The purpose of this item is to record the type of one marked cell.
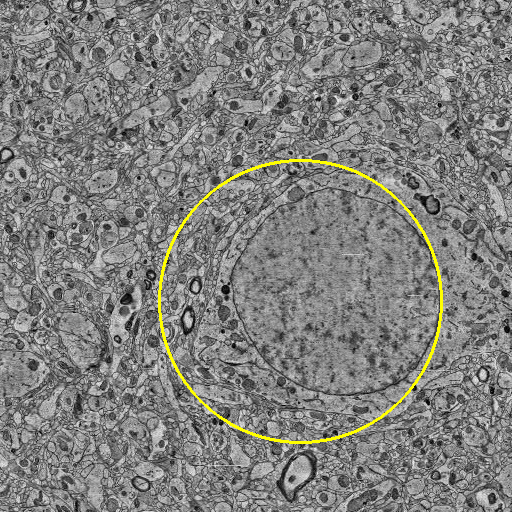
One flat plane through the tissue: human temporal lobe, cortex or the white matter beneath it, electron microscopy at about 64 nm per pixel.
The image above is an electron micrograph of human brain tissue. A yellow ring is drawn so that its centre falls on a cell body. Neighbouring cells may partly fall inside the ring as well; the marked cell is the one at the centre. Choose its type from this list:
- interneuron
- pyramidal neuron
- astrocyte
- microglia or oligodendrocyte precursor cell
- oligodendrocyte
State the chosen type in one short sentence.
What the ring marks here is a pyramidal neuron.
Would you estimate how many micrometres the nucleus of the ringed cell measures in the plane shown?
About 13 micrometres across in this plane, for the nucleus.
